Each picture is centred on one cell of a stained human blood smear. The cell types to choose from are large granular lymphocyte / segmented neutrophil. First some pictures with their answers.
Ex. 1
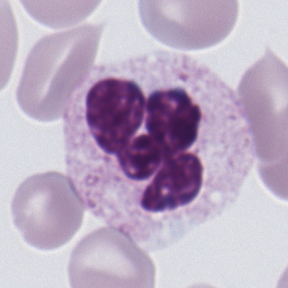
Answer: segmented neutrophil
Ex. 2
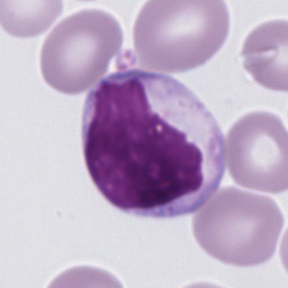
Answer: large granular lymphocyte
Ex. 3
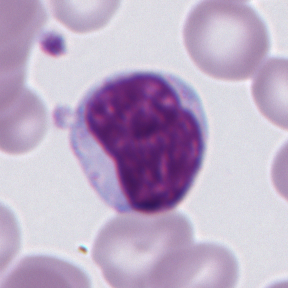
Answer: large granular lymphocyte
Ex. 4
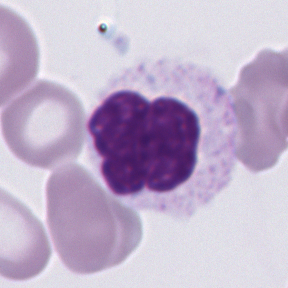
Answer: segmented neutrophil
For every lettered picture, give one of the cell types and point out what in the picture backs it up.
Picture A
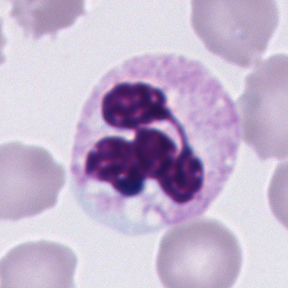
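Label: segmented neutrophil. The cytoplasm is abundant and pale pinkish-lilac.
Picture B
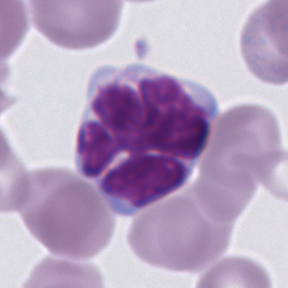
Label: large granular lymphocyte. The cytoplasm forms only a thin rim around the nucleus.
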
